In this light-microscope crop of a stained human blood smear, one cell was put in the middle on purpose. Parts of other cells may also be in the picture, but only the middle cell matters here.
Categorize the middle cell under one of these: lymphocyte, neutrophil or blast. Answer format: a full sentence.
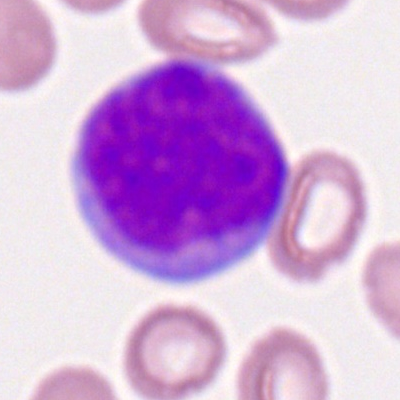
This crop is built around a blast at its centre.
